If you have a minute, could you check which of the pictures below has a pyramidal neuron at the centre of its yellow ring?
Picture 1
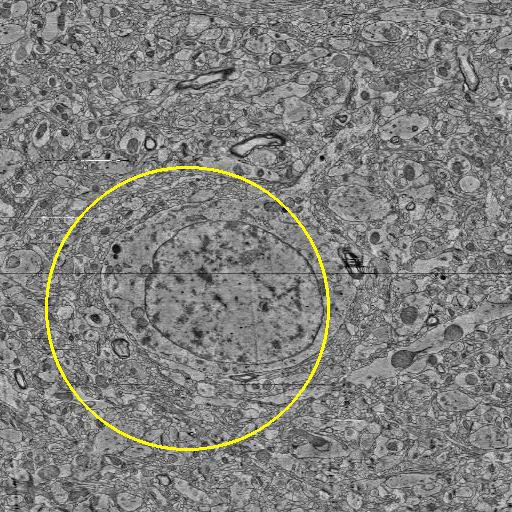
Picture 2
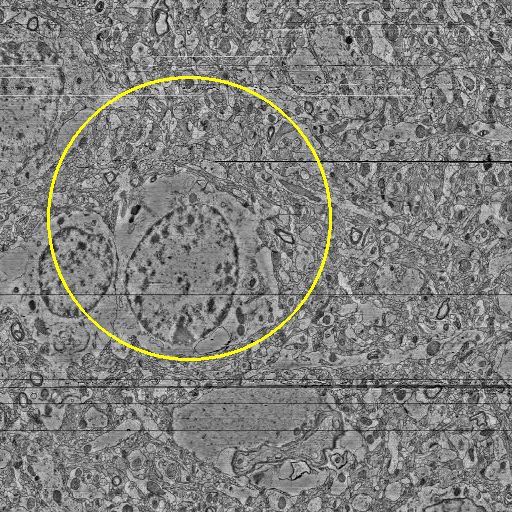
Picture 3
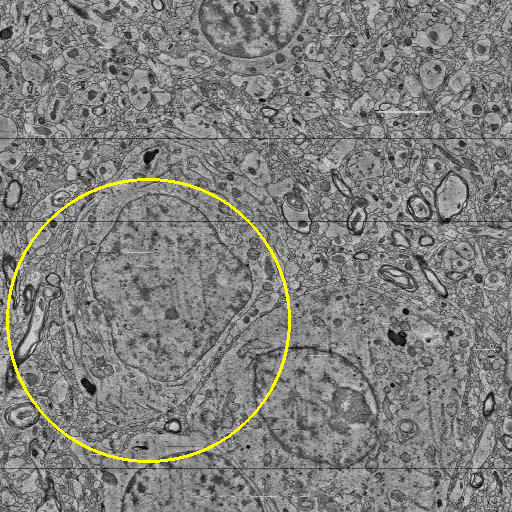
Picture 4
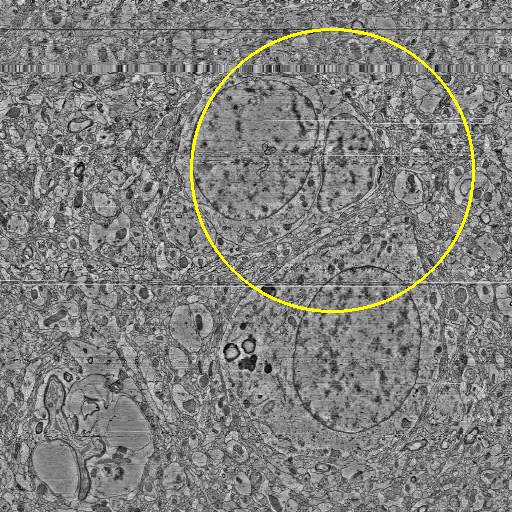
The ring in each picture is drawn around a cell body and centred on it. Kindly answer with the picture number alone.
1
